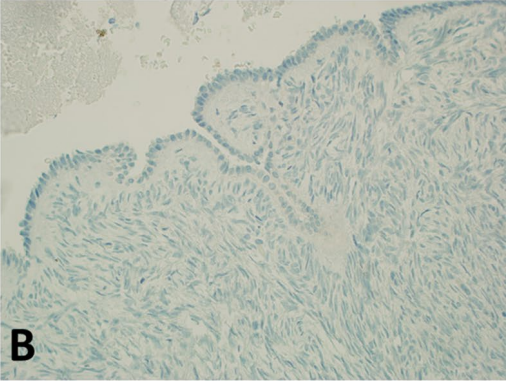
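This is ovary, with a single layer of small cuboidal surface cells covering a gently folded free surface. Beneath it lies a densely cellular stroma of spindle cells with elongated nuclei arranged in streaming, swirling bundles. Neither the surface cells nor the stromal cells show brown colour; only blue nuclei are seen.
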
